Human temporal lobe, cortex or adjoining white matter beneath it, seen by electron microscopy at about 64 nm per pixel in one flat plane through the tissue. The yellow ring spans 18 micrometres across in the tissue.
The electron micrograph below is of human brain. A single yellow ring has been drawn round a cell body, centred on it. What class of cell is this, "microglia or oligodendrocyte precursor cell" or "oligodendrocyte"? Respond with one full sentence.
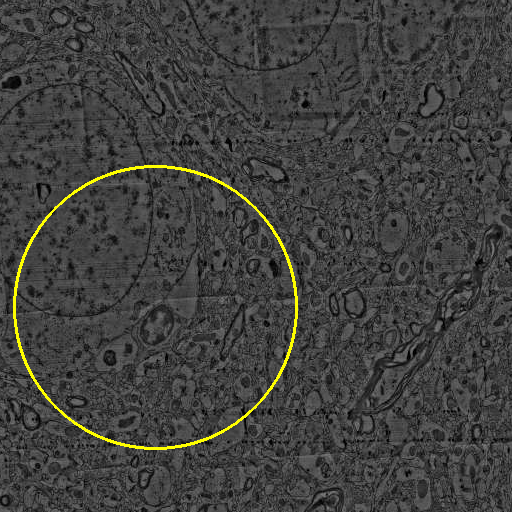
In the micrograph, the cell centred inside the yellow ring is a microglial cell or oligodendrocyte precursor cell.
